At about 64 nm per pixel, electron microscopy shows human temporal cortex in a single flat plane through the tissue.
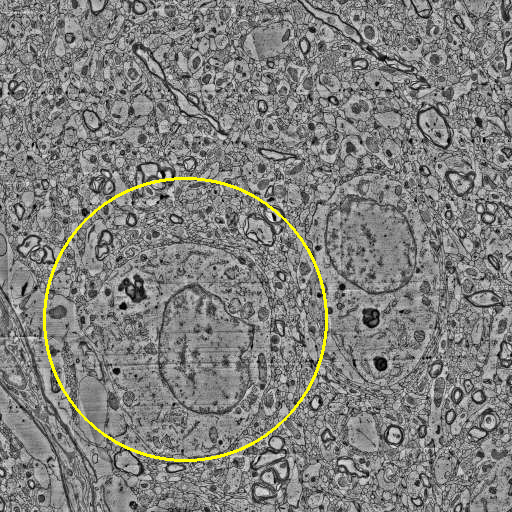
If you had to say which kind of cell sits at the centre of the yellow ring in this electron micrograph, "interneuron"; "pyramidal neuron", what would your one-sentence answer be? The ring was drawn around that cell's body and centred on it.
The cell sitting at the centre of the ring is a pyramidal neuron.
